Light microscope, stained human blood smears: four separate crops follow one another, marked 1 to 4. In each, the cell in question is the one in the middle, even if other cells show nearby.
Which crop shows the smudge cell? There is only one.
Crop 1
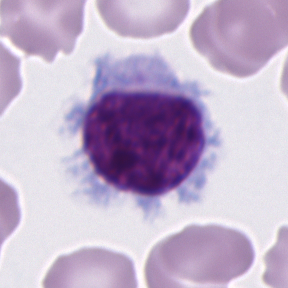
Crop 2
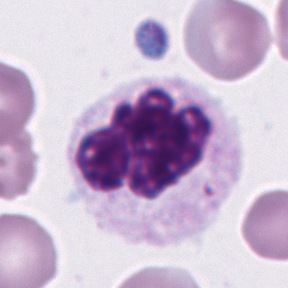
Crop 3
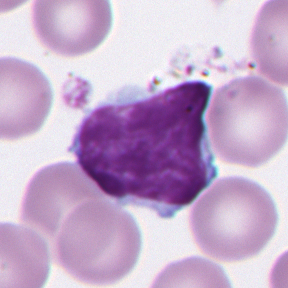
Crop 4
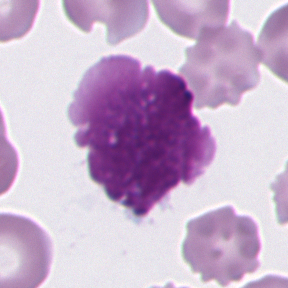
4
